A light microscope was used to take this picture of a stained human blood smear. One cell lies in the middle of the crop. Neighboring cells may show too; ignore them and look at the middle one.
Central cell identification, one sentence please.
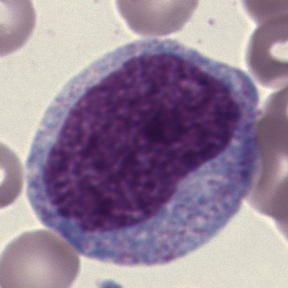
The single cell at the center of the crop is a promyelocyte.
